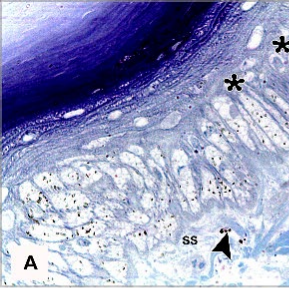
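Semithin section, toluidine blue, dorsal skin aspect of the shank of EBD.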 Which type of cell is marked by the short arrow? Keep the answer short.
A: Melanocytes.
